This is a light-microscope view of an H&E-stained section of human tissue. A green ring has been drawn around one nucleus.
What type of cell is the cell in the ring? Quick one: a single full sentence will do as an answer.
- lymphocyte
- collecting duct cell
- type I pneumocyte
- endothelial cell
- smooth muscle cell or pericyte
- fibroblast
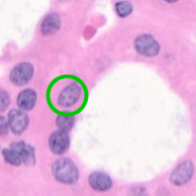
It is as a collecting duct cell that the cell in the ring is classified.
